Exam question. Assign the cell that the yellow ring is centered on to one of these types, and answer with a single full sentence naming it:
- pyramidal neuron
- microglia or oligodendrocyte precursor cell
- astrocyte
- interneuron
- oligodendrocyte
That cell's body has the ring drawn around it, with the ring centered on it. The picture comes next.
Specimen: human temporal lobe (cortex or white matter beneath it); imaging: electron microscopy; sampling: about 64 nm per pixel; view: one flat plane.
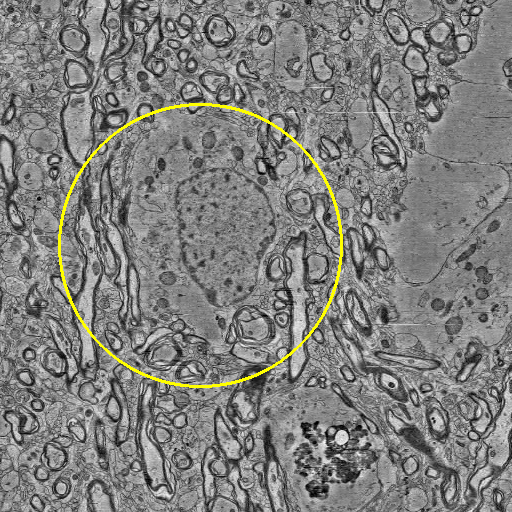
In the micrograph, the cell the yellow ring is centered on is an astrocyte.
